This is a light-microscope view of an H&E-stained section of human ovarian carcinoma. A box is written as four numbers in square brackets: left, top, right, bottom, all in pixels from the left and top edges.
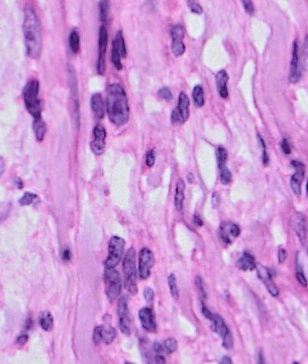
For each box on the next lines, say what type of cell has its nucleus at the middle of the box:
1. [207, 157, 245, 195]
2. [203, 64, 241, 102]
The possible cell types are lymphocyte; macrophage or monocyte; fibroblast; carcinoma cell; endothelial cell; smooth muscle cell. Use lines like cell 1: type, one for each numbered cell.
cell 1: lymphocyte
cell 2: macrophage or monocyte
